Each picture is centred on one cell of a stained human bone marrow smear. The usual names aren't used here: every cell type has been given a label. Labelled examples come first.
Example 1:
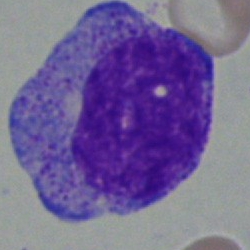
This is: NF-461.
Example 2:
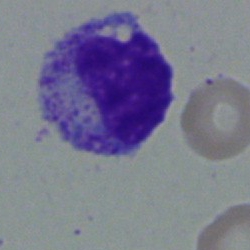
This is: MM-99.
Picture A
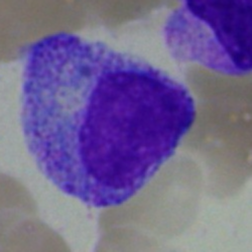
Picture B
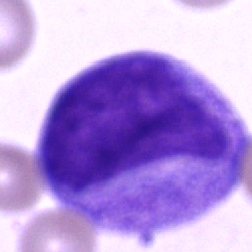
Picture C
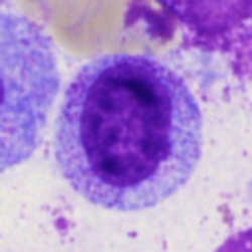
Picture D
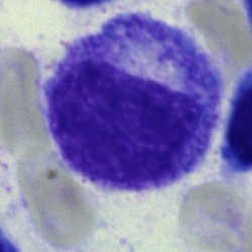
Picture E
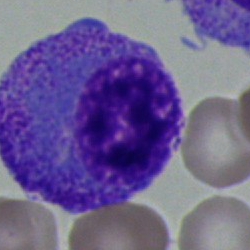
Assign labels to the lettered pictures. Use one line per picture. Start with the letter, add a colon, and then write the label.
A: MM-99.
B: NF-461.
C: MM-99.
D: MM-99.
E: NF-461.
